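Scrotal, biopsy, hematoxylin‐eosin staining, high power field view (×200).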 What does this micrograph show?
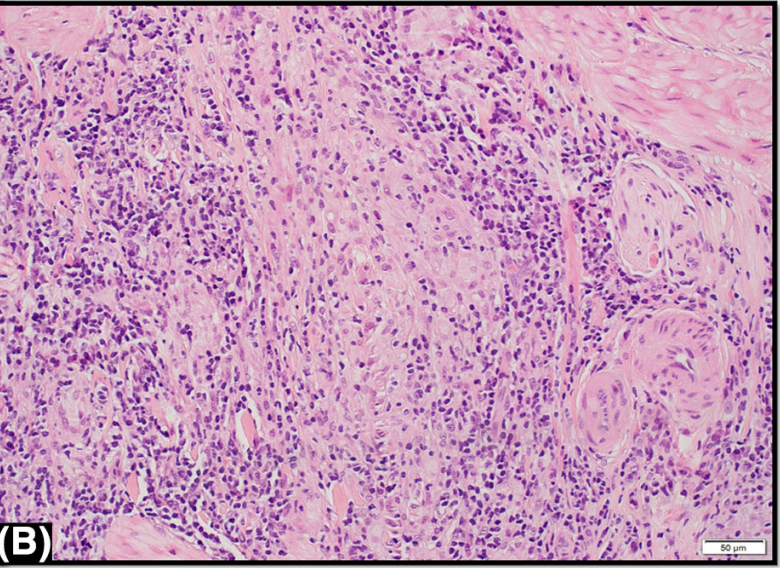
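This is inflamed dermis of skin, where granulomas made of histiocytes are surrounded by lymphocytes and plasma cells. In the middle run loose clusters of larger cells with plentiful pale pink cytoplasm and oval or elongated, pale, vesicular nuclei; these are the histiocytes, grouped into aggregates. Around and between them lie crowds of small cells with round, dark purple nuclei and very little cytoplasm, the lymphocytes, mixed with cells whose nucleus sits off to one side of a pinker cytoplasm, the plasma cells. Pink bundles of collagen and small round vessels with thick walls border the inflamed area. No necrosis is seen.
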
